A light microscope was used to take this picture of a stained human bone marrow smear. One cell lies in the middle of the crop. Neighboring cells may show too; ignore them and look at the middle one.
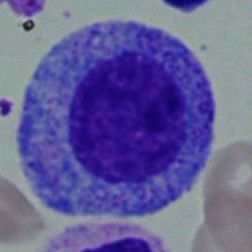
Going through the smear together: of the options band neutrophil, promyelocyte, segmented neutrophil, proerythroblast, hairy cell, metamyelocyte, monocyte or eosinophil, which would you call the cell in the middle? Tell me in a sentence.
Standing at the centre of this crop is a promyelocyte.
